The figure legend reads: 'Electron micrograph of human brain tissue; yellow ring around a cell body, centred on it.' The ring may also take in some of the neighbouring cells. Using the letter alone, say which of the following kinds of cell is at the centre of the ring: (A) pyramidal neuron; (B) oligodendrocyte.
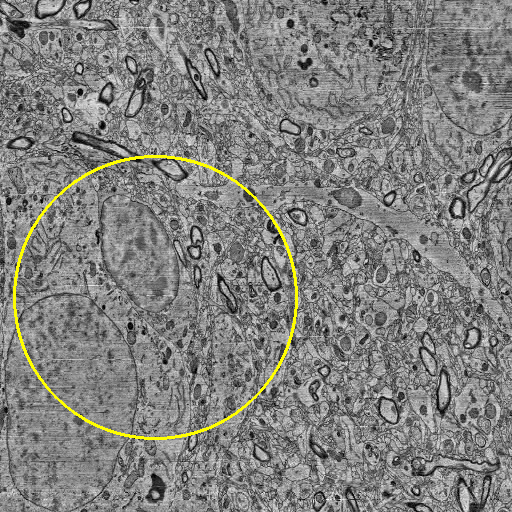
B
